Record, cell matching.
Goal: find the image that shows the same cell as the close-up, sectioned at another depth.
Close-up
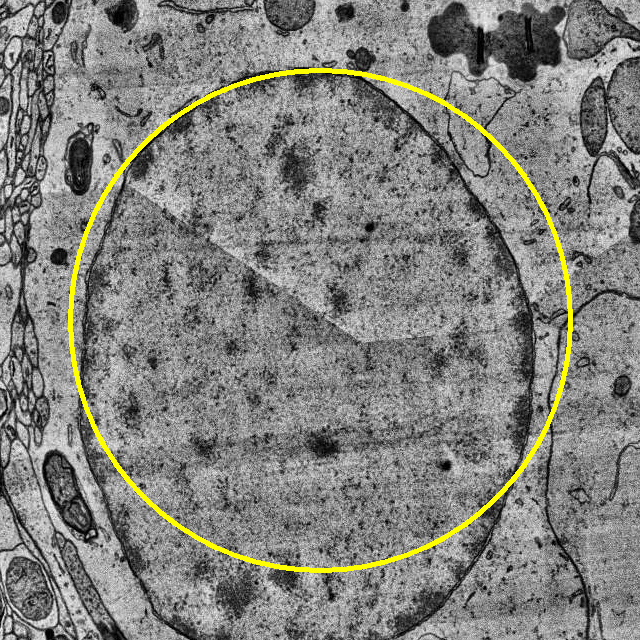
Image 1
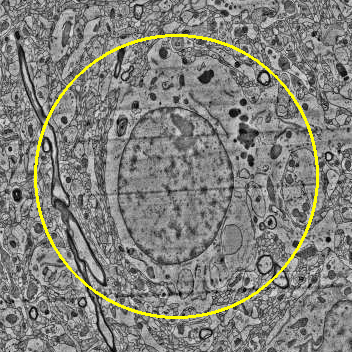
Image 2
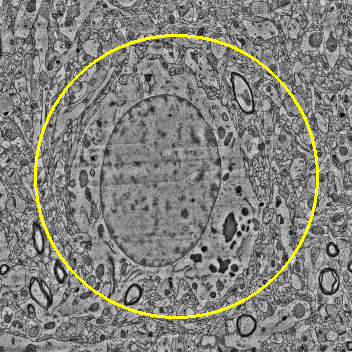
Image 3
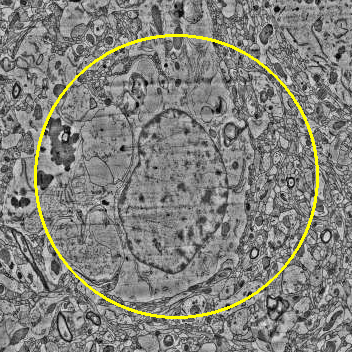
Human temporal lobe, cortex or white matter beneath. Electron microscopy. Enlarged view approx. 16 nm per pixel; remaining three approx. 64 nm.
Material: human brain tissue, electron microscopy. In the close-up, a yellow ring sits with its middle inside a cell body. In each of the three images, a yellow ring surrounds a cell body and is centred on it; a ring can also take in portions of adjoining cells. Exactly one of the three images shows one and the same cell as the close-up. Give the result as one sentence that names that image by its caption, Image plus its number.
The close-up presents the same cell outlined by the ring in Image 1.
